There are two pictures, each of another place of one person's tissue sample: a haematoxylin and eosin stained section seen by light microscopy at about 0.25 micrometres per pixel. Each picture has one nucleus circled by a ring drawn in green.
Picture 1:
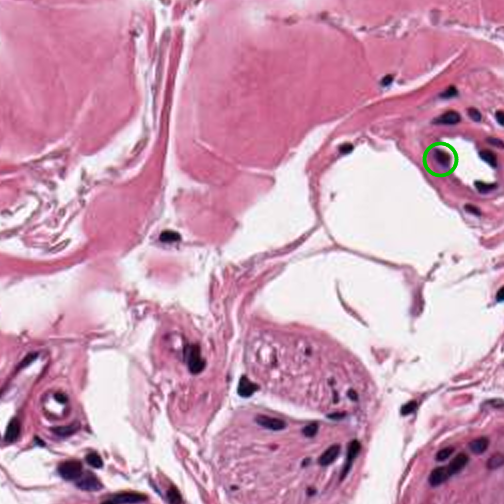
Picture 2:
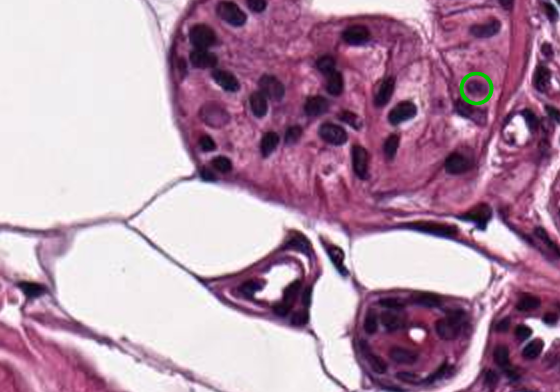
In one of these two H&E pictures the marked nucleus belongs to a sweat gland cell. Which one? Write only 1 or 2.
2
